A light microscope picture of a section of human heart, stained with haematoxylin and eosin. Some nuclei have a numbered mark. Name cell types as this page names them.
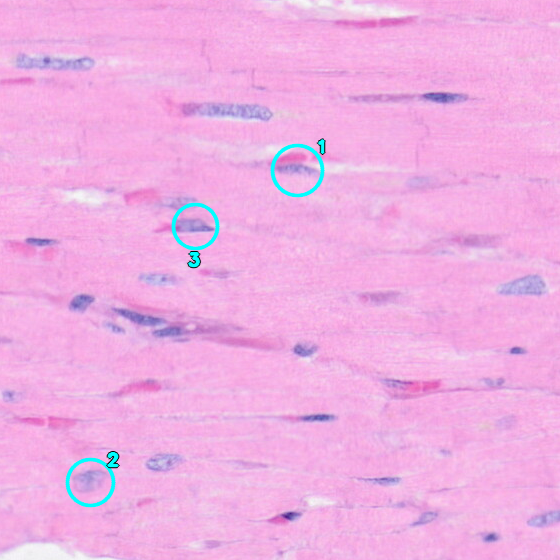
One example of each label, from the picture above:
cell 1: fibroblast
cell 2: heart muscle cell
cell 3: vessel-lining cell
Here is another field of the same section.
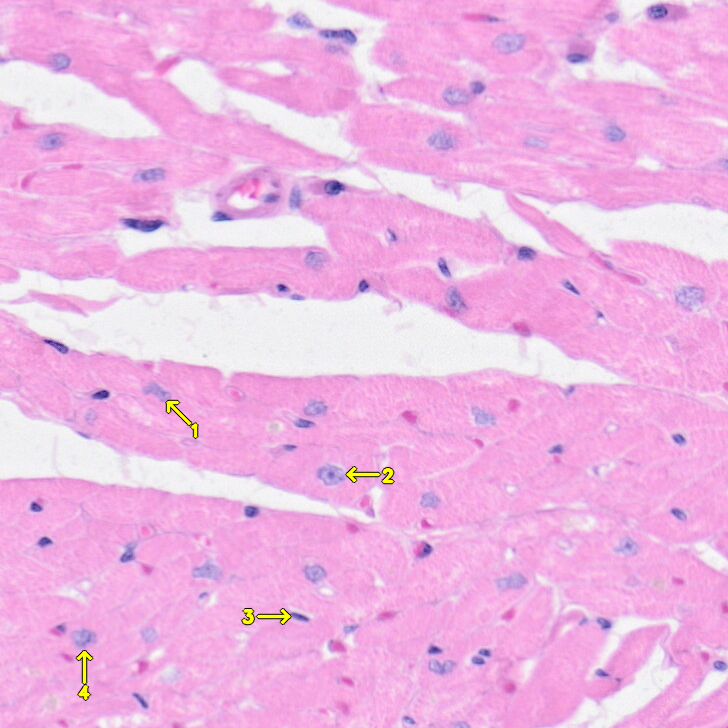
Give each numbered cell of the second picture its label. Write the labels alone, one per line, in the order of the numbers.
heart muscle cell
heart muscle cell
vessel-lining cell
heart muscle cell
